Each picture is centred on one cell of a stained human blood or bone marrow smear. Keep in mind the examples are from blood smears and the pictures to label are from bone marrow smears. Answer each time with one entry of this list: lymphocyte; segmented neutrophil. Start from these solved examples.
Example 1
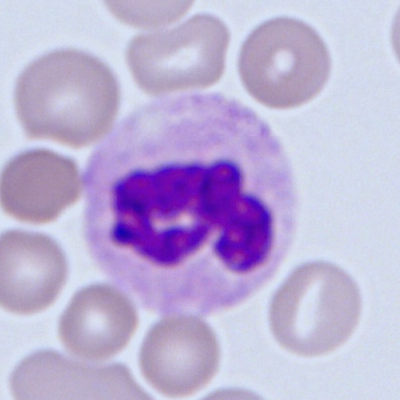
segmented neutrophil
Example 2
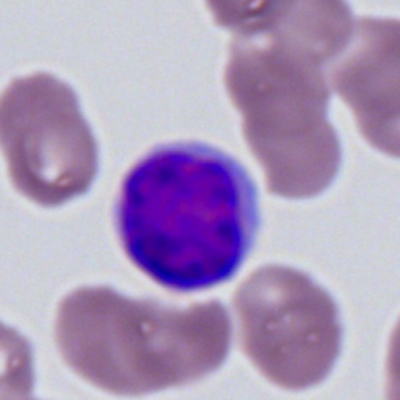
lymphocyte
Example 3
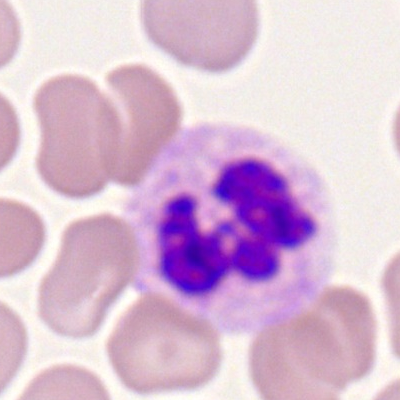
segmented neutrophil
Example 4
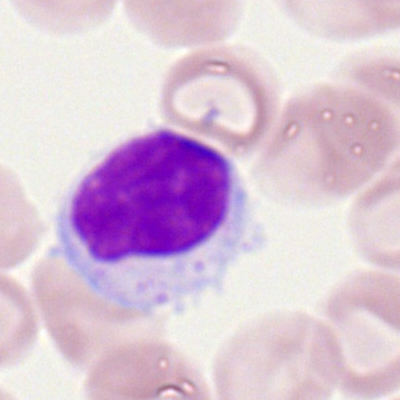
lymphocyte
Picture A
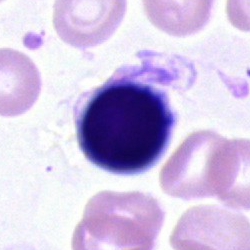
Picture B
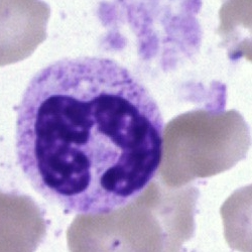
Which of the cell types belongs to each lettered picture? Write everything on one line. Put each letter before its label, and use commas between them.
A lymphocyte, B segmented neutrophil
